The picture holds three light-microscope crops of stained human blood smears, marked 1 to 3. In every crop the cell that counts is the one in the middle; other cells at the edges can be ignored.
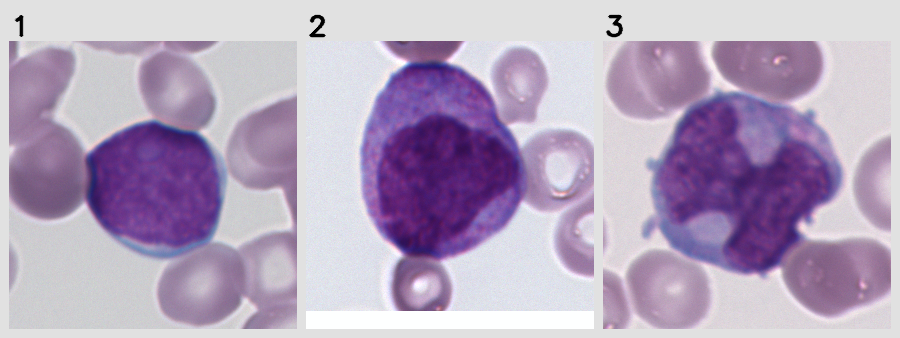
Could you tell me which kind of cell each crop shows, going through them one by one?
1: myeloblast
2: atypical promyelocyte
3: atypical promyelocyte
